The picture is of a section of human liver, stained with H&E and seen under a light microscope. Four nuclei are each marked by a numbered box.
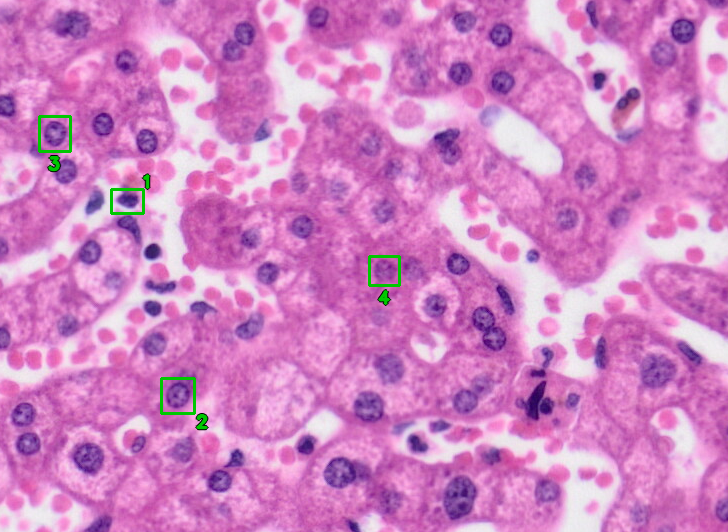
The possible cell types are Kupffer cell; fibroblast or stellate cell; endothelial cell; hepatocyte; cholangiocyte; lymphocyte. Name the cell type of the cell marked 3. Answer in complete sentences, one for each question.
The nucleus labeled 3 belongs to a hepatocyte.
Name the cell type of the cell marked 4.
The cell indicated by marker 4 is a hepatocyte in this section.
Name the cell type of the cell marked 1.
Cell 1 in the field of view is a lymphocyte.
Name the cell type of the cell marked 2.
Regarding cell 2, this one is a hepatocyte.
